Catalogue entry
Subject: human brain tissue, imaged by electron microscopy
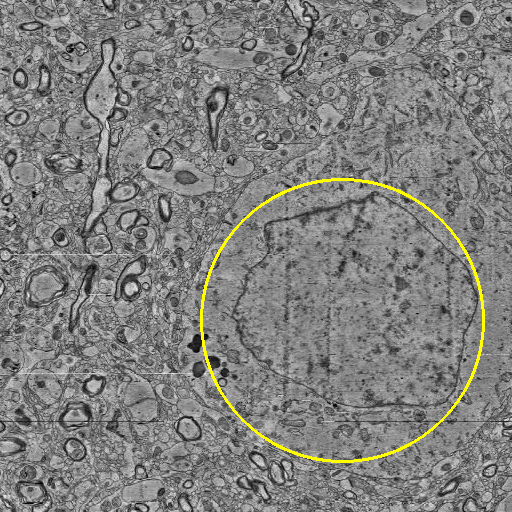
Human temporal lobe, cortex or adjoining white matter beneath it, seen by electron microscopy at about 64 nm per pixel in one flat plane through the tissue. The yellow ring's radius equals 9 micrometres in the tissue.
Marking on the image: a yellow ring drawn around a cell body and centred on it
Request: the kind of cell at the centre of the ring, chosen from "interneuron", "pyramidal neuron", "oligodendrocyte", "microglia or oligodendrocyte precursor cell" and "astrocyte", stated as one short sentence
The ring has a pyramidal neuron at its centre.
